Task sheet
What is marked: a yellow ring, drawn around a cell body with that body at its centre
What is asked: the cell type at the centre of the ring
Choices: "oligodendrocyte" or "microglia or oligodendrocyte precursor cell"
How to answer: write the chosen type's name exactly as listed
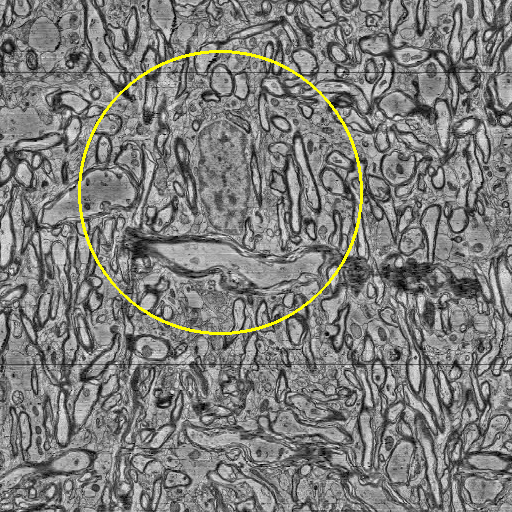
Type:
oligodendrocyte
